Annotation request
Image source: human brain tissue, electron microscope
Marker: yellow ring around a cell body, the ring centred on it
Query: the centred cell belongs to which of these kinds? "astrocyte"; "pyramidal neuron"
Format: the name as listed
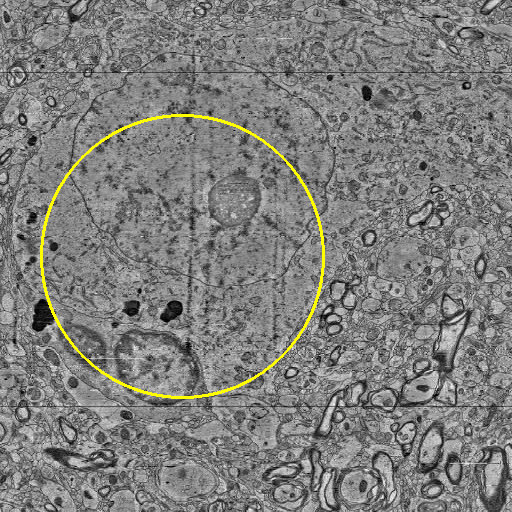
pyramidal neuron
